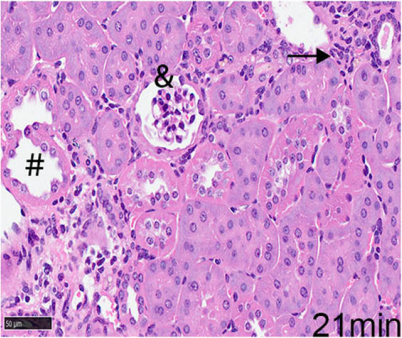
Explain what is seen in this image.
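Renal cortex with proximal and distal tubules and a glomerulus, stained pink with blue-purple nuclei. The glomerulus is hypercellular, its tuft crowded with dark nuclei within Bowman's capsule. Tubular epithelial cells are swollen with pale, finely granular pink cytoplasm and round central nuclei; some luminal borders are ragged. Between tubules, clusters of small, dense, dark nuclei mark interstitial inflammatory cell infiltration, most prominent at the upper right and lower left.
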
